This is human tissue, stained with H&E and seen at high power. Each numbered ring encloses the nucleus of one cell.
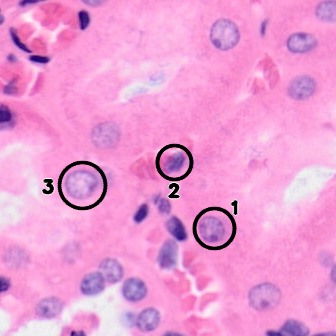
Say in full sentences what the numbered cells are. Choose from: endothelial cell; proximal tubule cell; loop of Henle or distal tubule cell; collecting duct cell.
Cells 1 and 3 are proximal tubule cells. Cell 2 is an endothelial cell.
